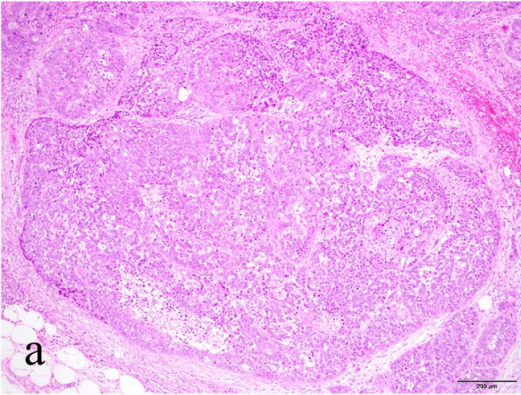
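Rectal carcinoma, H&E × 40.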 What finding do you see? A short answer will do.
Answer: Solid growth.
